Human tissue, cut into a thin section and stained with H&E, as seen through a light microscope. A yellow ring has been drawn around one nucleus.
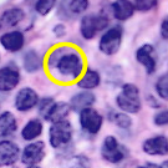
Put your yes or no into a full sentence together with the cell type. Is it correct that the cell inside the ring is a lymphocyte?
Yes, the cell inside the ring in this section represents a lymphocyte.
